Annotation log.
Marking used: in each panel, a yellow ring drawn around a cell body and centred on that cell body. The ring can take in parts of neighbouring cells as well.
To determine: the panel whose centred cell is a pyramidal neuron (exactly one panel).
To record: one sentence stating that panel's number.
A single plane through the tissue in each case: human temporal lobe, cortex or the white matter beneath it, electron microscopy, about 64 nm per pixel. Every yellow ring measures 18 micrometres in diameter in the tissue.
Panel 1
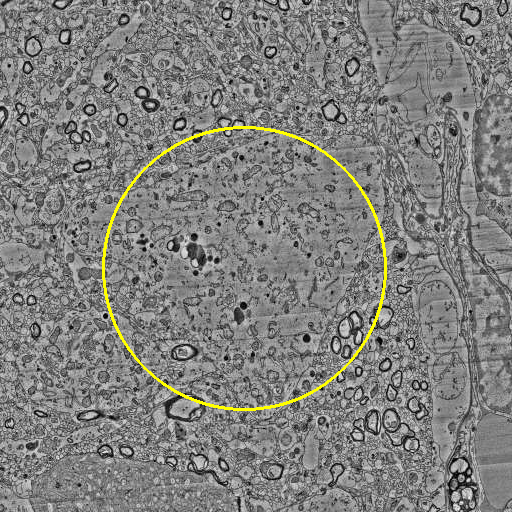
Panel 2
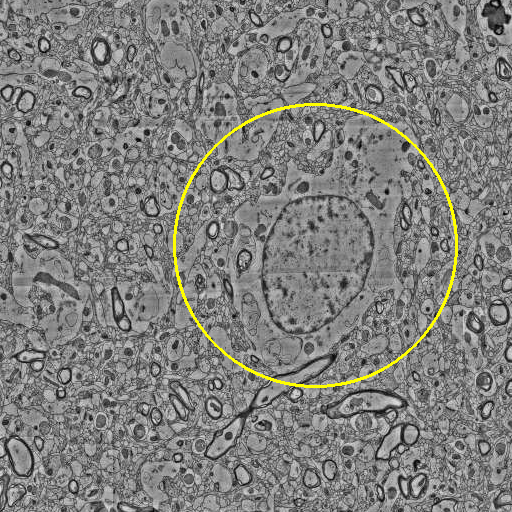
Panel 1 shows it at the centre of its ring.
